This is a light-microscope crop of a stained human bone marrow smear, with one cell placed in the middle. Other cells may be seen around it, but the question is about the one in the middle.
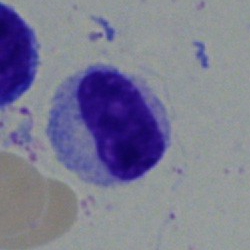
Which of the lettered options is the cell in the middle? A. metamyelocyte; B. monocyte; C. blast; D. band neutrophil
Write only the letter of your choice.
A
